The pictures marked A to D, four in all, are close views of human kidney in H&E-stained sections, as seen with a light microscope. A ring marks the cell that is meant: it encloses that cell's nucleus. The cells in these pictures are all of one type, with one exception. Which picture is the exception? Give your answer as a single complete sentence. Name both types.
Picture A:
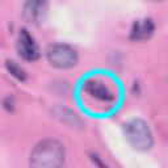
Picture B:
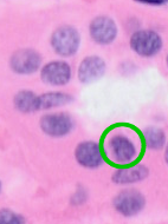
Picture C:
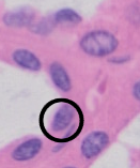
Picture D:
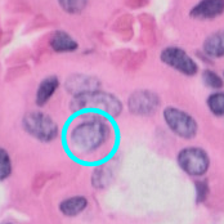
The others show collecting duct cells, but picture C shows a “loop of Henle or distal tubule cell”.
